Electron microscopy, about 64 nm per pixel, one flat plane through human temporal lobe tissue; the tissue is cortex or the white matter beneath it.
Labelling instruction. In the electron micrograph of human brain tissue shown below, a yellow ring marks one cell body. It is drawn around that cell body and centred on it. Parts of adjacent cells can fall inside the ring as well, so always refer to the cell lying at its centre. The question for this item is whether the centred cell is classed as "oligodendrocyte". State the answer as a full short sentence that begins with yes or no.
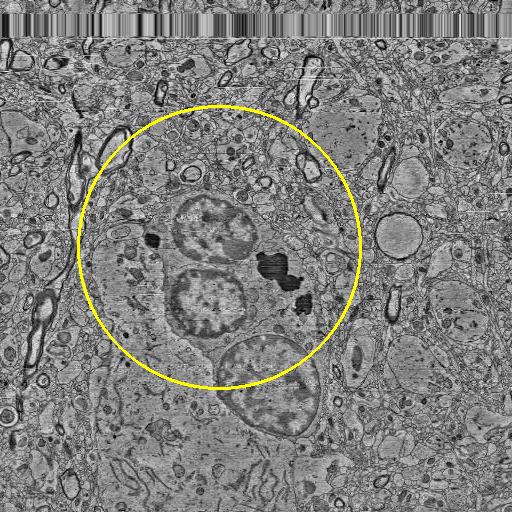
Yes, the centred cell is of that class.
